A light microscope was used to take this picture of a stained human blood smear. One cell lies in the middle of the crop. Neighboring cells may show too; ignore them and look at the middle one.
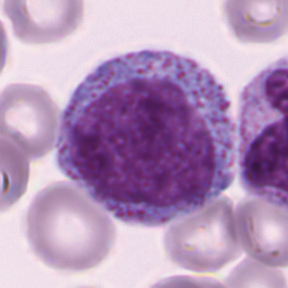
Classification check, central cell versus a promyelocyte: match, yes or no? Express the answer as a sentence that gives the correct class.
Yes, in this crop the cell in the middle is a promyelocyte.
